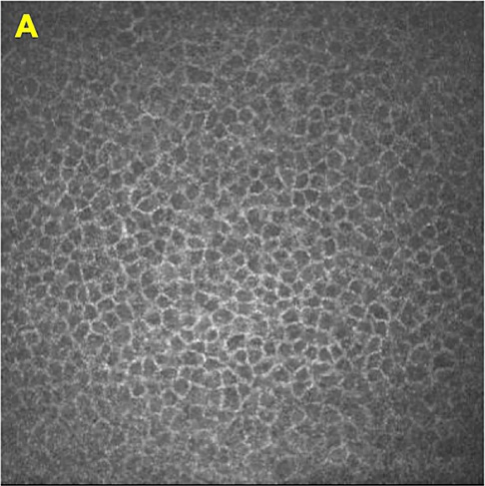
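The corneal epithelial layer is seen en face as a dense, regular mosaic of small polygonal cells. Each cell is outlined by a bright border around a darker interior. No scattered bright bodies or deposits lie among the cells.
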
